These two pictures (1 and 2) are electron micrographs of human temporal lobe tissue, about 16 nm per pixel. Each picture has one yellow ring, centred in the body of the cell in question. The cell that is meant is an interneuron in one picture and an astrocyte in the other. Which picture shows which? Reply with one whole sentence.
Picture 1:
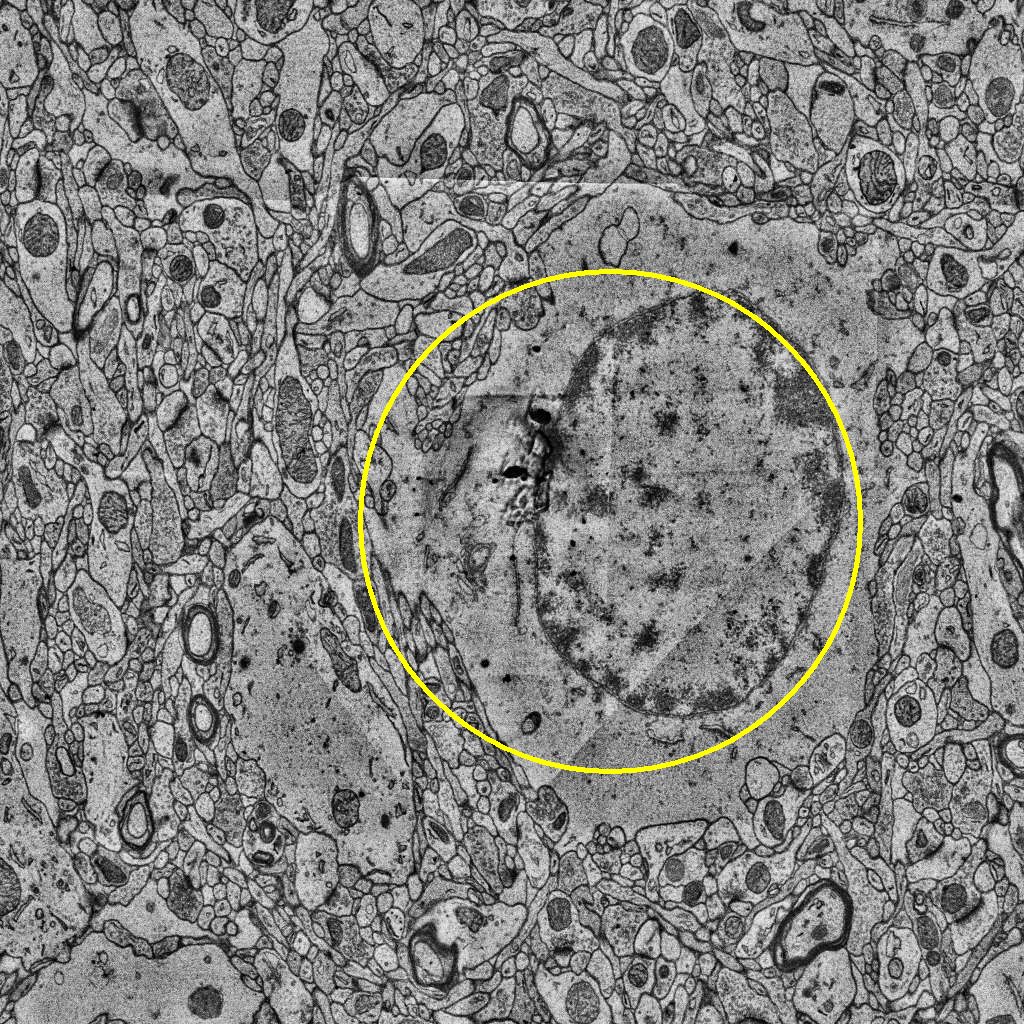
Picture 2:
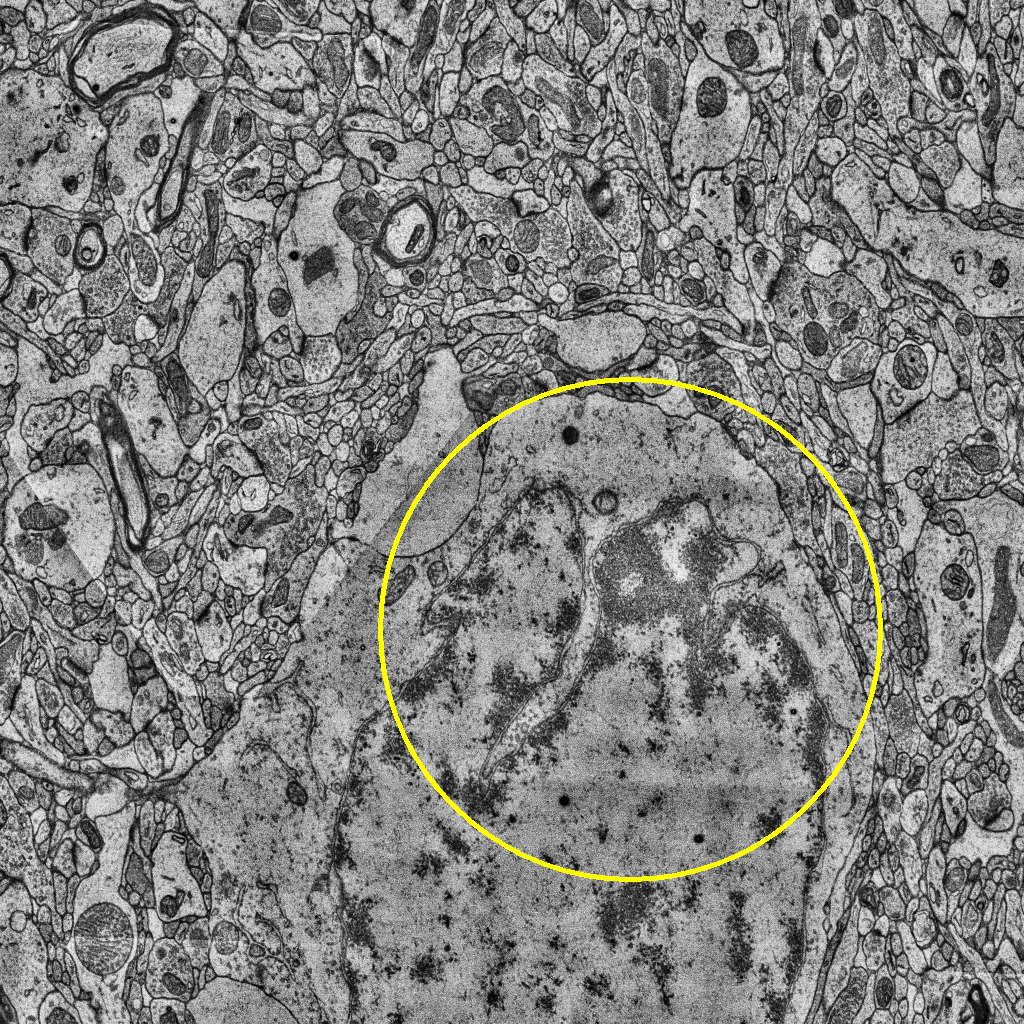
Picture 1 shows an astrocyte and picture 2 shows an interneuron.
